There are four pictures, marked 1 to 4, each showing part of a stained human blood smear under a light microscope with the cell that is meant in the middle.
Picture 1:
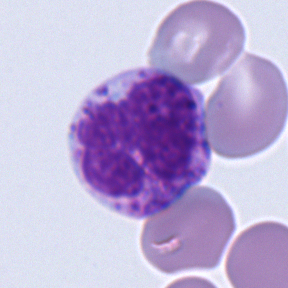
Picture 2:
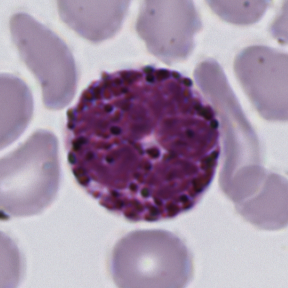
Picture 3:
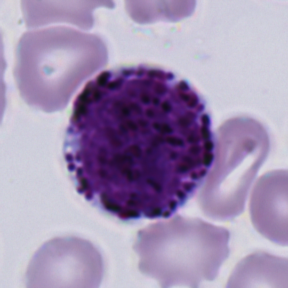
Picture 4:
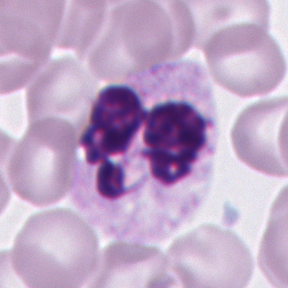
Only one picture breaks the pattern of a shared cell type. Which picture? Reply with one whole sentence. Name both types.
Picture 4 differs, because its cell is a segmented neutrophil and the rest are basophils.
